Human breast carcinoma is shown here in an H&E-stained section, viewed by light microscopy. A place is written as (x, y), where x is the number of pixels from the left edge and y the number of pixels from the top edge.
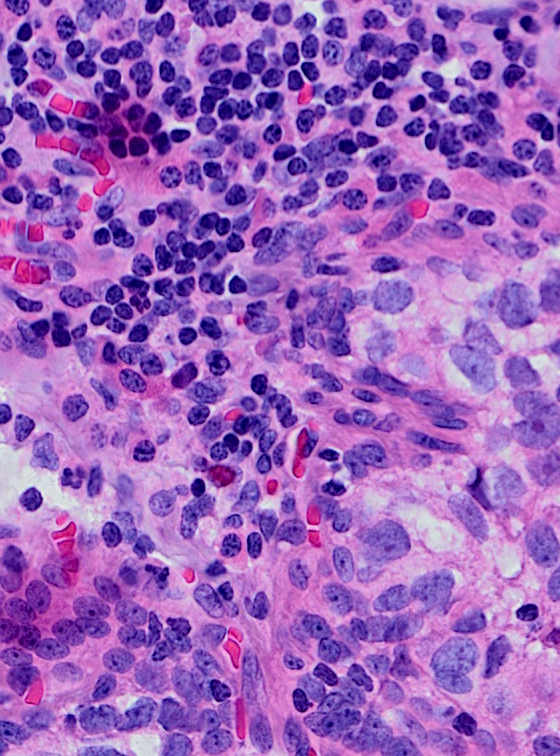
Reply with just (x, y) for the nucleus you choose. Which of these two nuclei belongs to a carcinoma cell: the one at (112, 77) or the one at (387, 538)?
(387, 538)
